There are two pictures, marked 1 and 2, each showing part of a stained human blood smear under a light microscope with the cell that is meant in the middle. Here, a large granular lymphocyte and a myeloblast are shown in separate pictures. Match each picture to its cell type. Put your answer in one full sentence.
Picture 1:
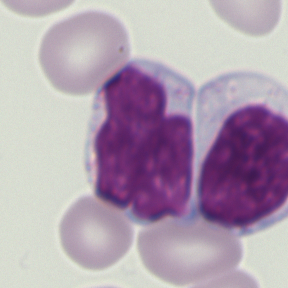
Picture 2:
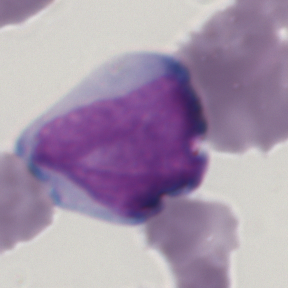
Picture 1 is of a large granular lymphocyte, and picture 2 is of a myeloblast.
